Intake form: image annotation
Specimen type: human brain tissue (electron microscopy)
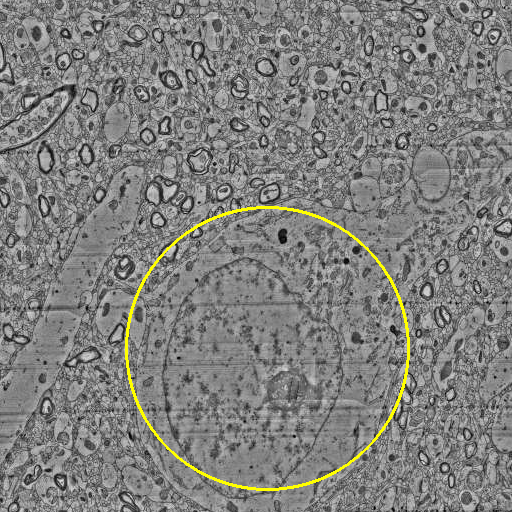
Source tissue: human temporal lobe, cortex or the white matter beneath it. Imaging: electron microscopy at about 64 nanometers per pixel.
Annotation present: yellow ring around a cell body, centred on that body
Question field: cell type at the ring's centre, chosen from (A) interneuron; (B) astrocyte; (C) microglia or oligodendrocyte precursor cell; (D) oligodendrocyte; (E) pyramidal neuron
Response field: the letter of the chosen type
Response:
E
